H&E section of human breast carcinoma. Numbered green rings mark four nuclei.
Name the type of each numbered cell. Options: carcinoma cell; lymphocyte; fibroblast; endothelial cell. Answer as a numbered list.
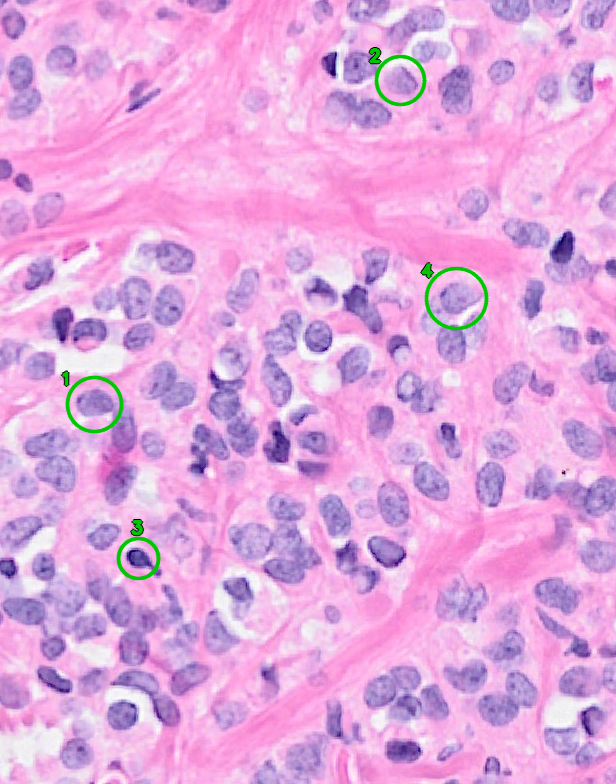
1. carcinoma cell
2. carcinoma cell
3. lymphocyte
4. carcinoma cell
